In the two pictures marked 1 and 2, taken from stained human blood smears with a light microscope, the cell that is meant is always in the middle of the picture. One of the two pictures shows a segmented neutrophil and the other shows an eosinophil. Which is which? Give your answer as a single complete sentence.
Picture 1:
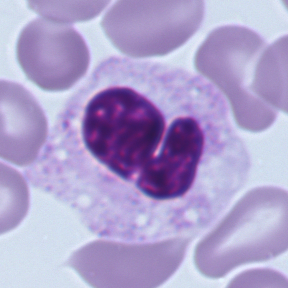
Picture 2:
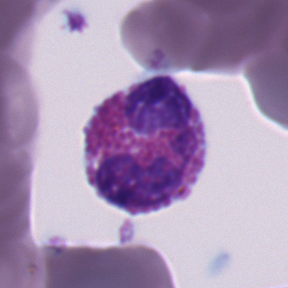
Picture 1 shows a segmented neutrophil and picture 2 shows an eosinophil.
